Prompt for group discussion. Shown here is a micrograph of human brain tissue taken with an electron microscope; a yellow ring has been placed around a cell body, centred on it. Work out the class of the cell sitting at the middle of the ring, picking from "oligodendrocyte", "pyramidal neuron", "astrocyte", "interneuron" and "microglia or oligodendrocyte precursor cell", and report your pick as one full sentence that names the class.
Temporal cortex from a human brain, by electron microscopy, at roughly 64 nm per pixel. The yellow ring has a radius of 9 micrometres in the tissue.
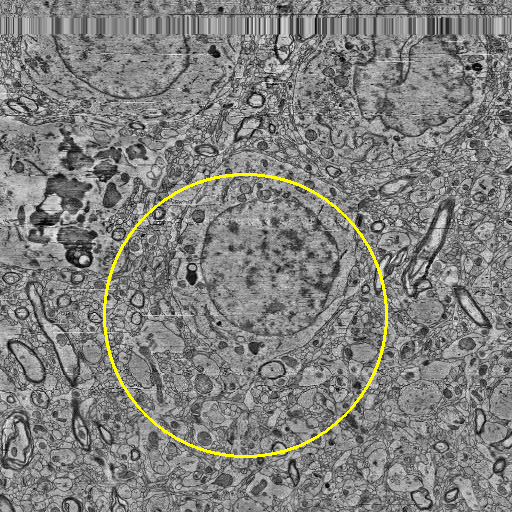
The cell sitting at the middle of the yellow ring is an interneuron.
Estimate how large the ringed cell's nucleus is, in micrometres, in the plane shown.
In this plane the ringed cell's nucleus is roughly 9 micrometres across.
